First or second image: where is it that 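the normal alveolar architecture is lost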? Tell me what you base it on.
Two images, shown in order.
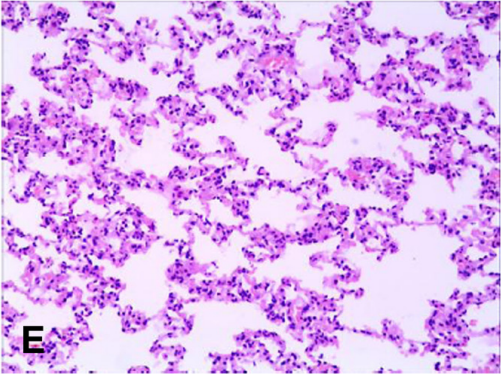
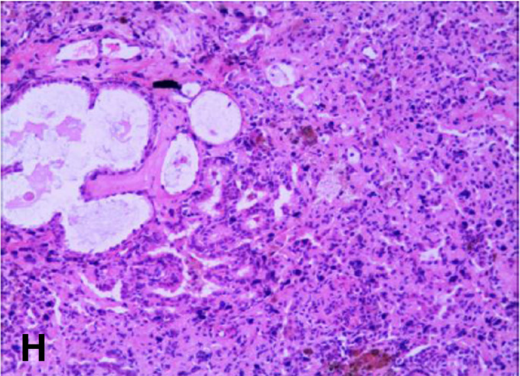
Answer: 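Second image: most of the field is solid cellular and fibrous tissue with only a few dilated spaces at the left. The answer: the second image.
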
